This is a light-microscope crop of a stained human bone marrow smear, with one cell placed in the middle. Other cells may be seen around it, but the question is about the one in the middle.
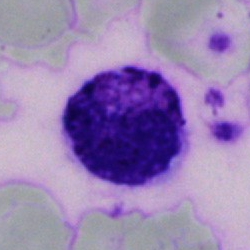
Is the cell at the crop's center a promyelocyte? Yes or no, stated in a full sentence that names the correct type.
No, sorry, the middle cell is a basophil rather than a promyelocyte.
